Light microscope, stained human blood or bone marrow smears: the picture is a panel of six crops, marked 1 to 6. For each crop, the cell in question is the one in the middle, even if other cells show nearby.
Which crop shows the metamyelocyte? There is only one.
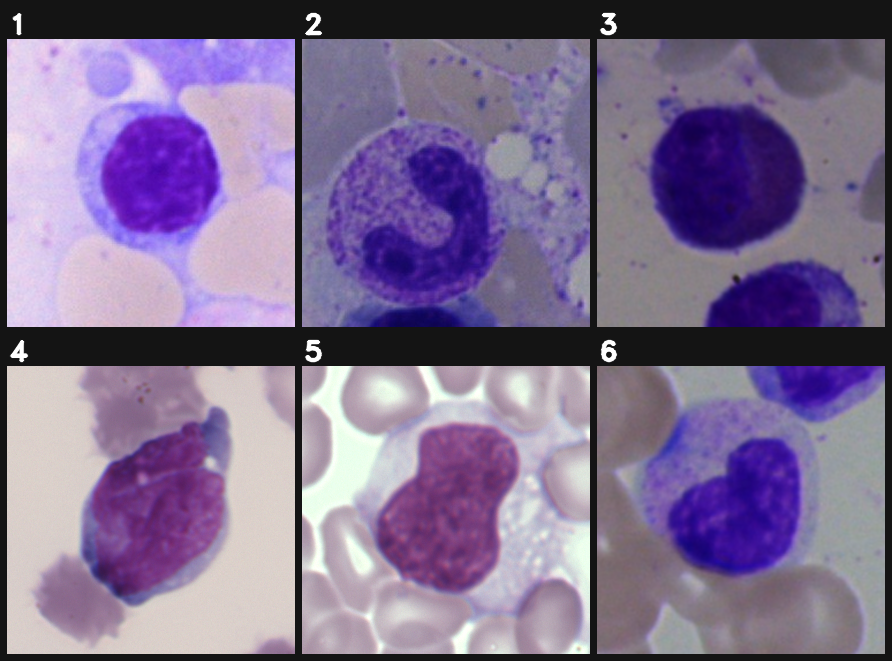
6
